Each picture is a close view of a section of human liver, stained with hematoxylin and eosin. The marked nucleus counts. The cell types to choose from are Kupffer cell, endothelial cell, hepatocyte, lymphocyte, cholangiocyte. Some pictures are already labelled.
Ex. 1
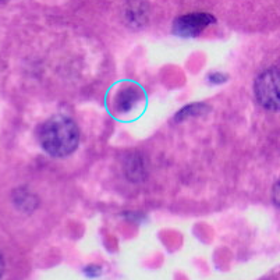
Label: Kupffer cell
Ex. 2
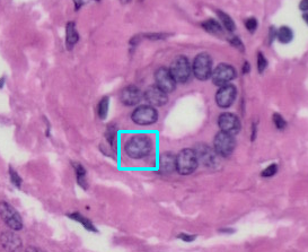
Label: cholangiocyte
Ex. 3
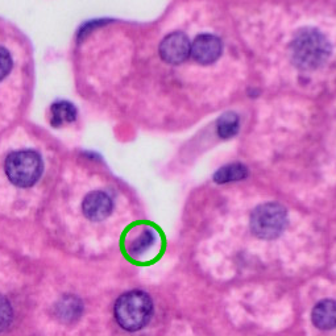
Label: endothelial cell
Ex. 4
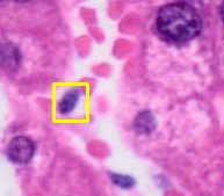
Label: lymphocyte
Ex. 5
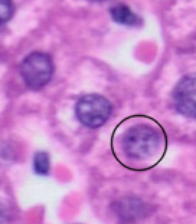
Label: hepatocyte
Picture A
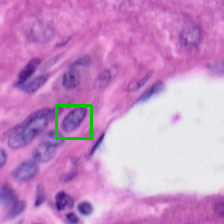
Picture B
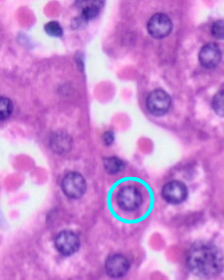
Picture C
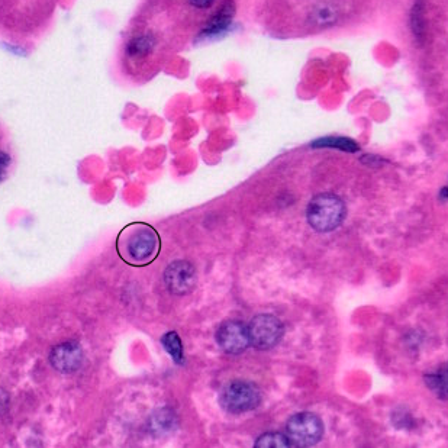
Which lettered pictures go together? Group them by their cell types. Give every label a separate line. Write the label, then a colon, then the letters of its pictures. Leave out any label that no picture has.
hepatocyte: B
cholangiocyte: A, C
